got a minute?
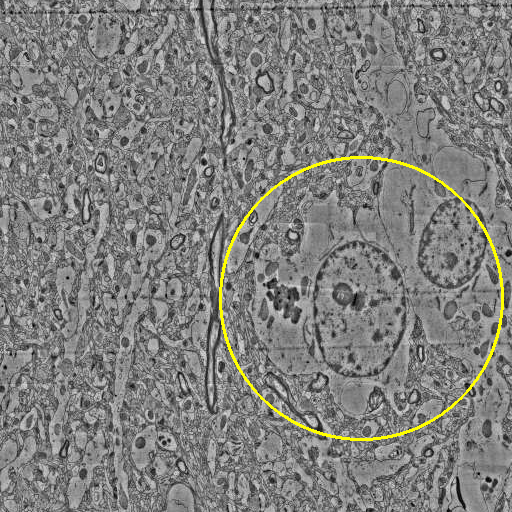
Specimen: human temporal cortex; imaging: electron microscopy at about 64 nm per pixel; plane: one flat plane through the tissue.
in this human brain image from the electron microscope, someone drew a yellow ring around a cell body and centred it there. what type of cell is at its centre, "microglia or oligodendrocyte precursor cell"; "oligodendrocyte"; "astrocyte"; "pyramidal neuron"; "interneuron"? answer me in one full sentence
It's an astrocyte at the middle of that yellow ring in the shot.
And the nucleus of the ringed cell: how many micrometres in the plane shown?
Roughly 8 micrometres by 6 micrometres, in this plane.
